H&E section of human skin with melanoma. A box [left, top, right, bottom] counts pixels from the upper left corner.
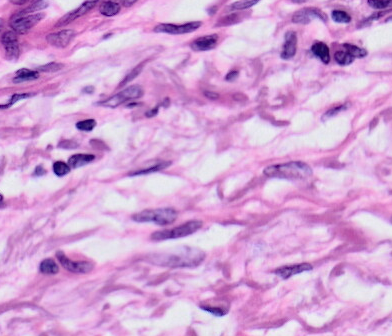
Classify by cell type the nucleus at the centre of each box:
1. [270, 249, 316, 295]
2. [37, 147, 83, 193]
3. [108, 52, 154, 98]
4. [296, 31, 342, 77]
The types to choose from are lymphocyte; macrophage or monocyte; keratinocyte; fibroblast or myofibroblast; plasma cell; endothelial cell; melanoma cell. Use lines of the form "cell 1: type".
cell 1: fibroblast or myofibroblast
cell 2: lymphocyte
cell 3: fibroblast or myofibroblast
cell 4: plasma cell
